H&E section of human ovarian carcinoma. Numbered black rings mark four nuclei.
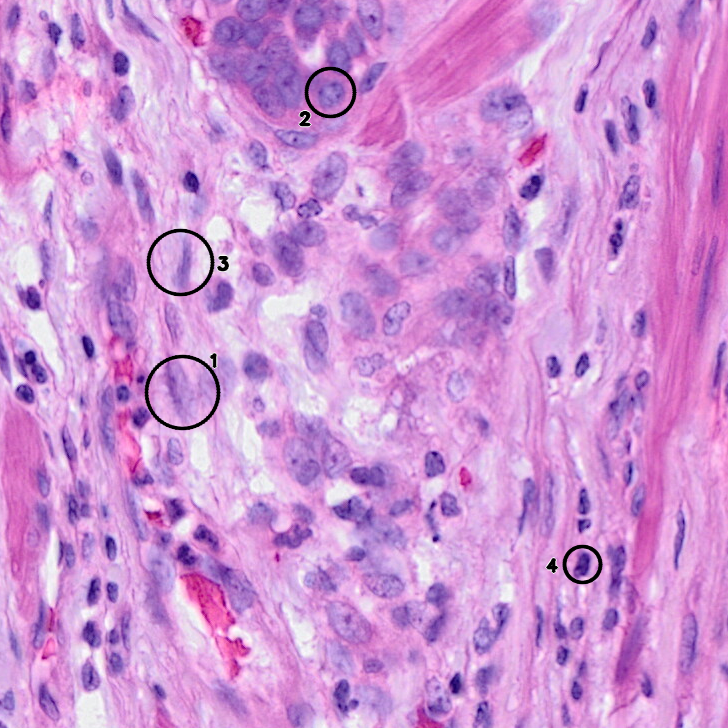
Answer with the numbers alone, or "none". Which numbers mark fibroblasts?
1, 3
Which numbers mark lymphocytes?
4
